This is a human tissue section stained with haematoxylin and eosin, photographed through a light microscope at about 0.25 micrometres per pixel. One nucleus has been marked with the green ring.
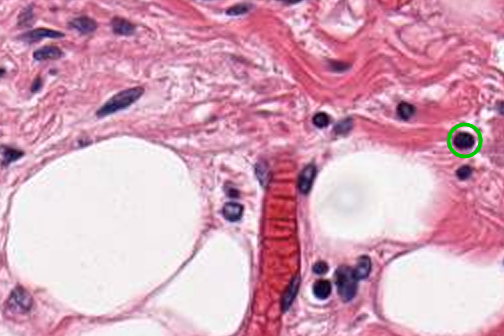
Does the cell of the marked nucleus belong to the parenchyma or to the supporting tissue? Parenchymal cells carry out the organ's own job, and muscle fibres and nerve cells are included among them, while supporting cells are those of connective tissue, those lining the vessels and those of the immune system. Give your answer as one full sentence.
Within this section, the marked nucleus belongs to a supporting cell.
